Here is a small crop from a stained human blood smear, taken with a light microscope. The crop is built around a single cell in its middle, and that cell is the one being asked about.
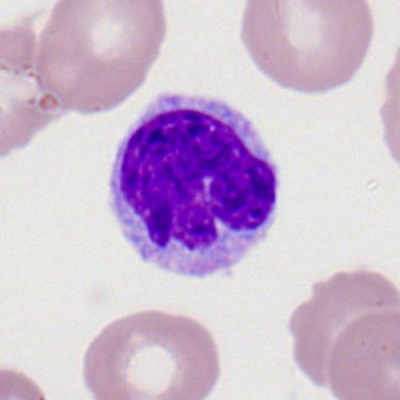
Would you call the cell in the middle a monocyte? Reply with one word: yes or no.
yes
